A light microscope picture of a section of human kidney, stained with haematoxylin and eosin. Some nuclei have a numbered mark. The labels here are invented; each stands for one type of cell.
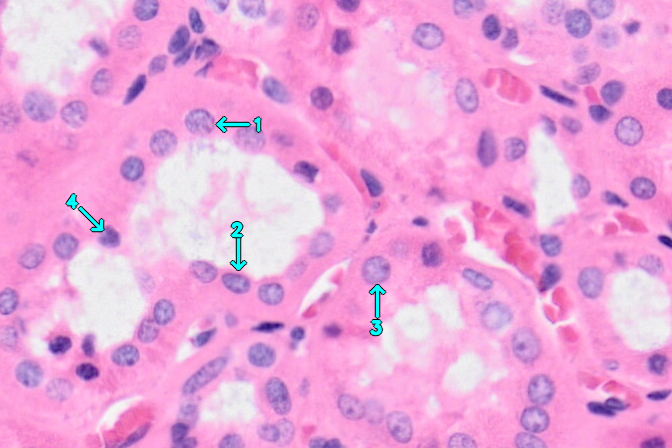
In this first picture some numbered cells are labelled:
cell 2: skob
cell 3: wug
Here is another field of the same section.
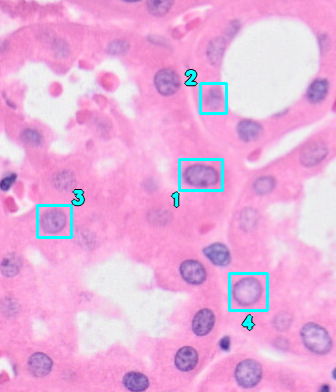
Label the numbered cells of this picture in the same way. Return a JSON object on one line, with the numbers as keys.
{"1": "wug", "2": "skob", "3": "wug", "4": "wug"}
